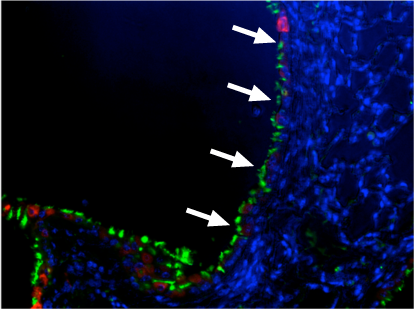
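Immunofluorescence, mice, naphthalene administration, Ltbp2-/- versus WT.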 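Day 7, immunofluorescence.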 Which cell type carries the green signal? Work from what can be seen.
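Green signal lines the luminal edge of the airway lining. That points to this answer: ciliated cells.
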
